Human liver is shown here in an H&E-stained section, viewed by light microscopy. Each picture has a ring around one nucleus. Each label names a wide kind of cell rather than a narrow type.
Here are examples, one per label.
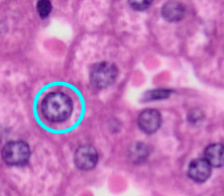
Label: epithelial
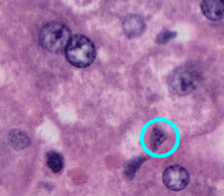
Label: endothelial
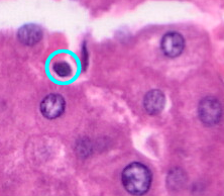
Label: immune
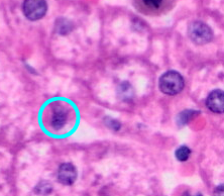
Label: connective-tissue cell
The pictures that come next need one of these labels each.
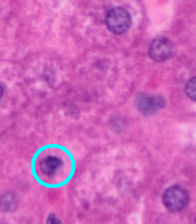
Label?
endothelial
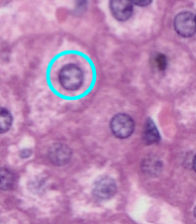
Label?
epithelial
